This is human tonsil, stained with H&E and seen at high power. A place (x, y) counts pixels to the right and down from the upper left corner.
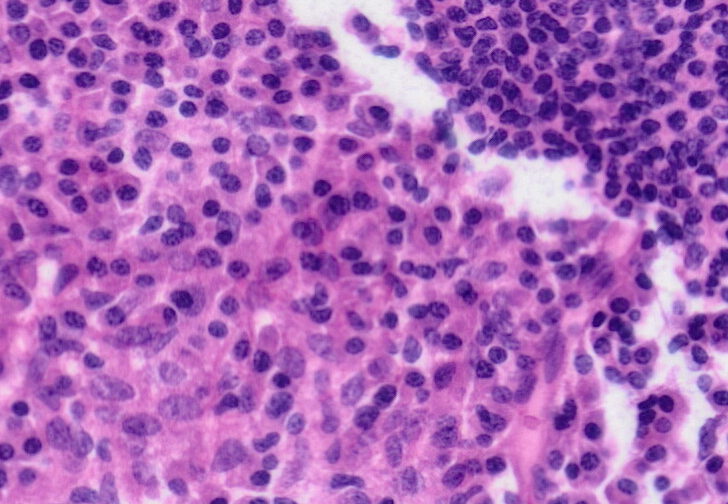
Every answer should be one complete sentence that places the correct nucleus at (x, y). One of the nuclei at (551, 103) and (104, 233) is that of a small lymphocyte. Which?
That would be the nucleus at (551, 103); it belongs to a small lymphocyte.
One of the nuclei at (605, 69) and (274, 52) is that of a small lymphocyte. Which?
The nucleus at (605, 69) is the one that belongs to a small lymphocyte.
